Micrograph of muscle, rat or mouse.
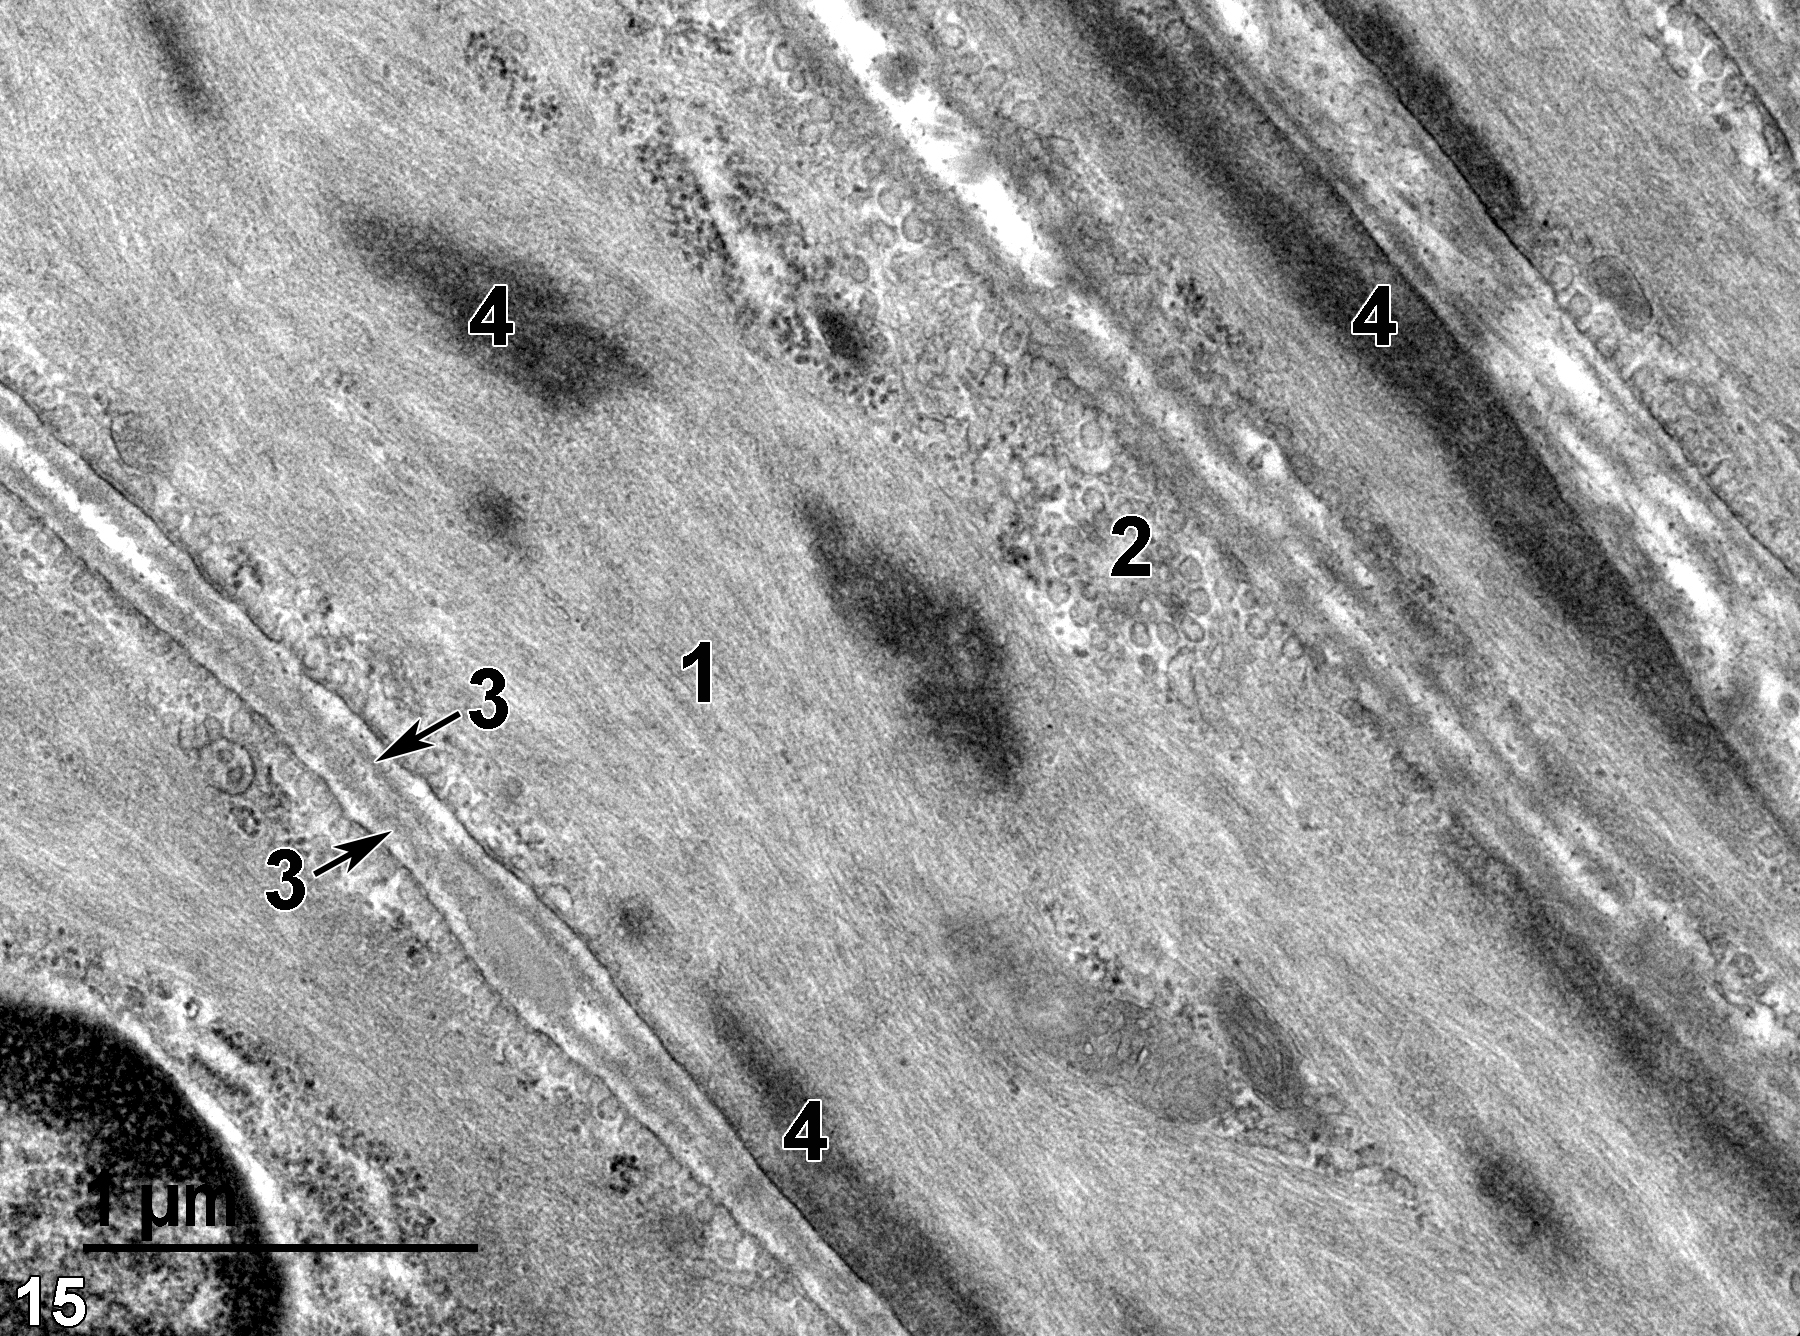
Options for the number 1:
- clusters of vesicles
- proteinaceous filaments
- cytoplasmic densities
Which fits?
proteinaceous filaments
